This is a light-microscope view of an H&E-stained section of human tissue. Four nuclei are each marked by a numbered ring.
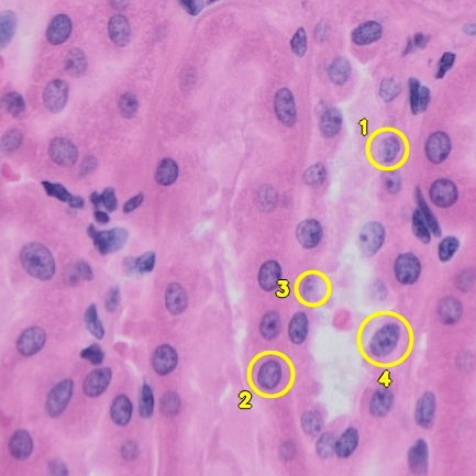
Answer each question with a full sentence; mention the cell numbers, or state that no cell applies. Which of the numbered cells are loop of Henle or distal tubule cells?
The cells marked with the numbers 1, 3 and 4 are loop of Henle or distal tubule cells.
